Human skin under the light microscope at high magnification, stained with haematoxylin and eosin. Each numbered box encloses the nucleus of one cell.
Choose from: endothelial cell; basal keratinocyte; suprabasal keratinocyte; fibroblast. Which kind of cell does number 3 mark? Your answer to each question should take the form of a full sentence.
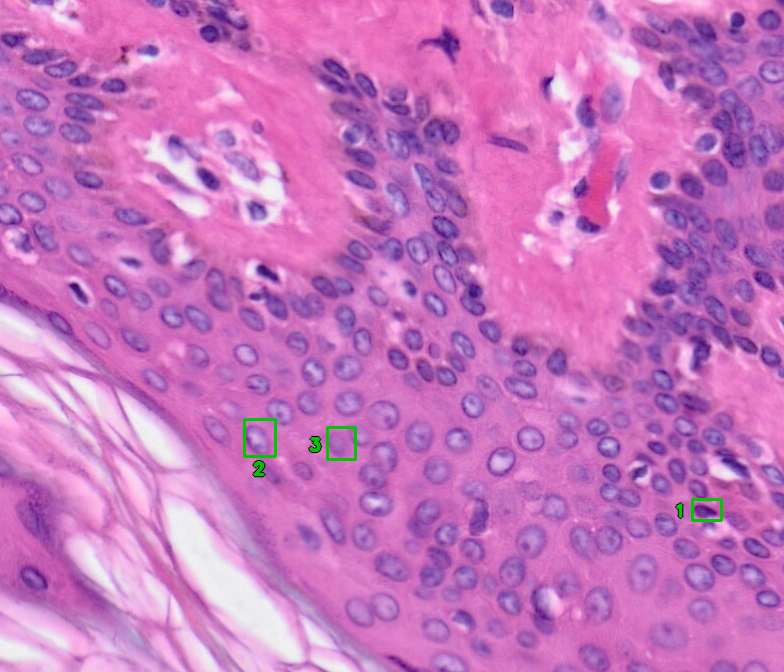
Identified by the number 3, the cell is a suprabasal keratinocyte.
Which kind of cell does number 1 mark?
The cell indicated with the number 1 is classed as a basal keratinocyte.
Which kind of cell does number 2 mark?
The cell to which the number 2 is assigned is a suprabasal keratinocyte.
